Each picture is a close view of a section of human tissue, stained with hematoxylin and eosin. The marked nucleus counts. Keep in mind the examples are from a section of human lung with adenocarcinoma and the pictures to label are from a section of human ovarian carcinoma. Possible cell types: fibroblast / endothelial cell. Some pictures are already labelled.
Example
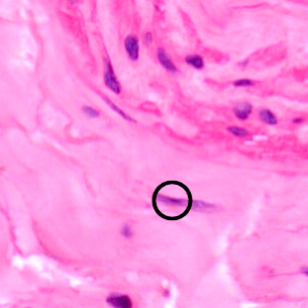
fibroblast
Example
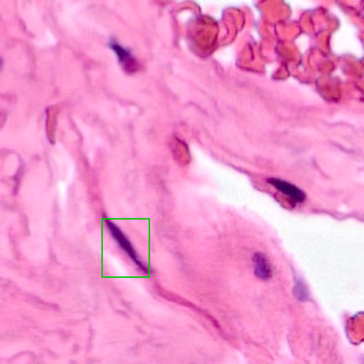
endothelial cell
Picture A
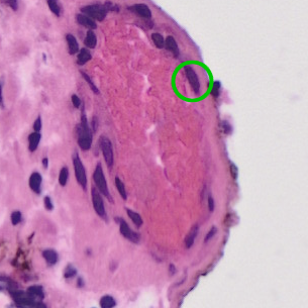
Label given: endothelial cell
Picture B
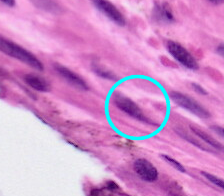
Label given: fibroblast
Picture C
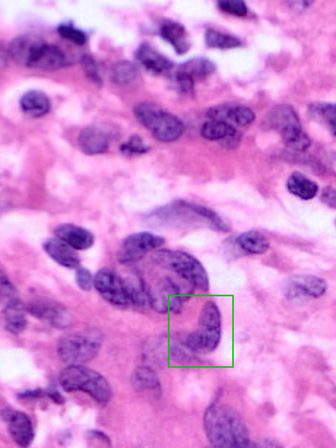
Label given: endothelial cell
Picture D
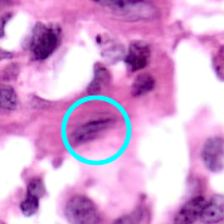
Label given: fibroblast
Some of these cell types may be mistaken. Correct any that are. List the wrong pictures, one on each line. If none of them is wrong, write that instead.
Wrong: D (fibroblast); correct: endothelial cell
